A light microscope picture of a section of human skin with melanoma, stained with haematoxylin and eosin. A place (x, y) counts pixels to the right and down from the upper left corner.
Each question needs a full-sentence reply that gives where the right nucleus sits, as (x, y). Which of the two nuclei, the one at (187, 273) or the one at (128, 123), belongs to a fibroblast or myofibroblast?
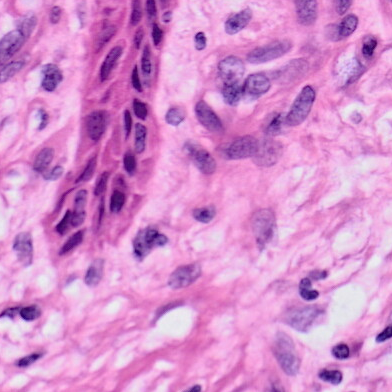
Of these two nuclei, it is the one at (187, 273) that belongs to a fibroblast or myofibroblast.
